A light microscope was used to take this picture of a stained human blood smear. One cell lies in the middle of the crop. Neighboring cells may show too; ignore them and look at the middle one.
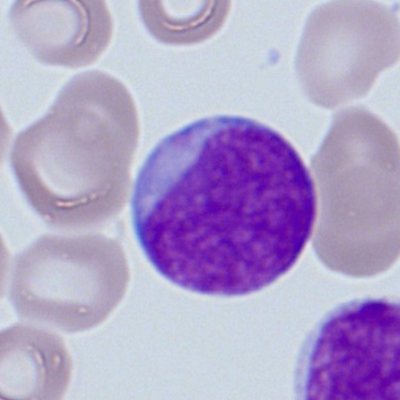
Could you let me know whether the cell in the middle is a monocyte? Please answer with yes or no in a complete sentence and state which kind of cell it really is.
No, the cell at the centre is a myeloblast, which rules out a monocyte.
